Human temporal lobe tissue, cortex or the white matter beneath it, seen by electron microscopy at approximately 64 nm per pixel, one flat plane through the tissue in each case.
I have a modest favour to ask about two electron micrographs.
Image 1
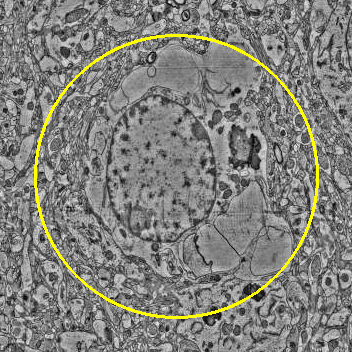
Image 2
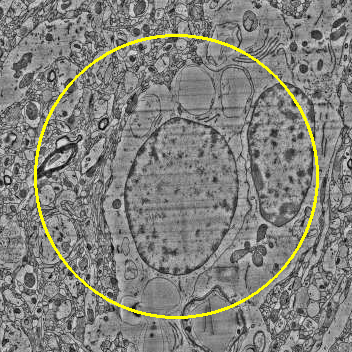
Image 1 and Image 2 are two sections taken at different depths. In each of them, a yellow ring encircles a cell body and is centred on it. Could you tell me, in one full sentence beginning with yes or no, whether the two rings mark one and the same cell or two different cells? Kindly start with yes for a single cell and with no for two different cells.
No, the two rings in this image mark separate cells.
